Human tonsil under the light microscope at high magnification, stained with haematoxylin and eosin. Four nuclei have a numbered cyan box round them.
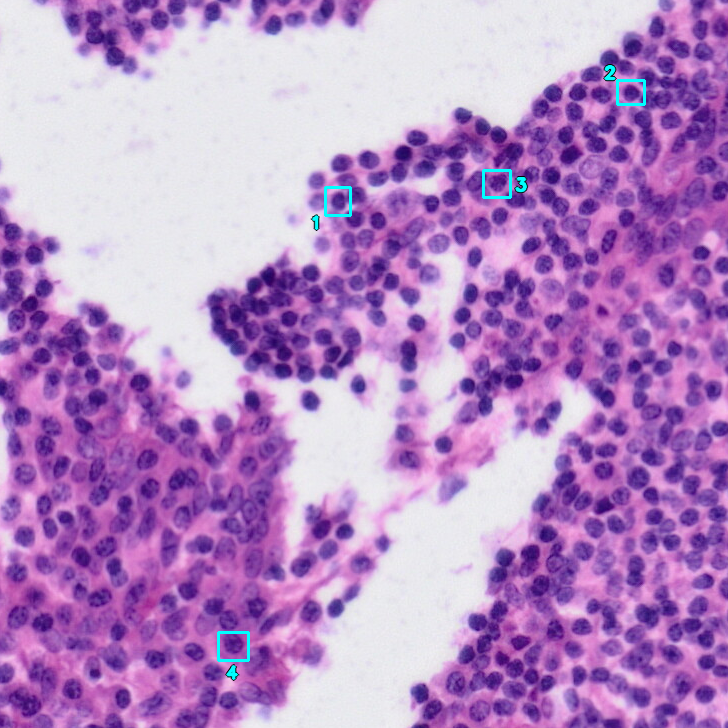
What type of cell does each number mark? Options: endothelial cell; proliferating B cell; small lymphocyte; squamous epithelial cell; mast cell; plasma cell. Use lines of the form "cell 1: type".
cell 1: small lymphocyte
cell 2: small lymphocyte
cell 3: small lymphocyte
cell 4: plasma cell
